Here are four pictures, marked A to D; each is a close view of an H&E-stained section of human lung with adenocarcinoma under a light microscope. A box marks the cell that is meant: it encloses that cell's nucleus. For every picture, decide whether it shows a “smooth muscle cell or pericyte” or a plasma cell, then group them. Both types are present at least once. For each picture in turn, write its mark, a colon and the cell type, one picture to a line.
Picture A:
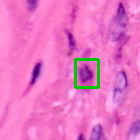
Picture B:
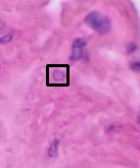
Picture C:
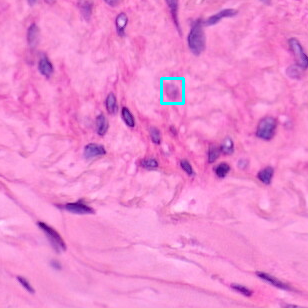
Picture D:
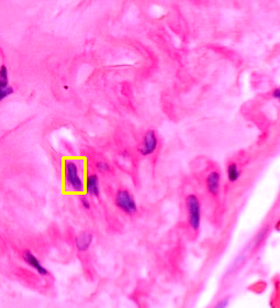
A: plasma cell
B: smooth muscle cell or pericyte
C: smooth muscle cell or pericyte
D: smooth muscle cell or pericyte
